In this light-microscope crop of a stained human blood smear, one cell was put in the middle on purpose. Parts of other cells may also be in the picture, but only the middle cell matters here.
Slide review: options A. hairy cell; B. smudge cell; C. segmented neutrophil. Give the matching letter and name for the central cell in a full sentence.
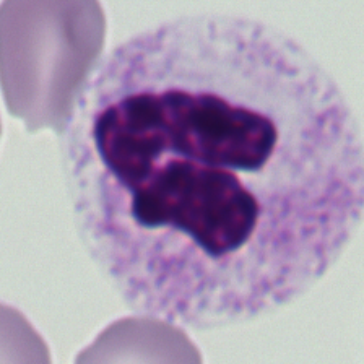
The best answer is option C, since the cell in the middle is a segmented neutrophil.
